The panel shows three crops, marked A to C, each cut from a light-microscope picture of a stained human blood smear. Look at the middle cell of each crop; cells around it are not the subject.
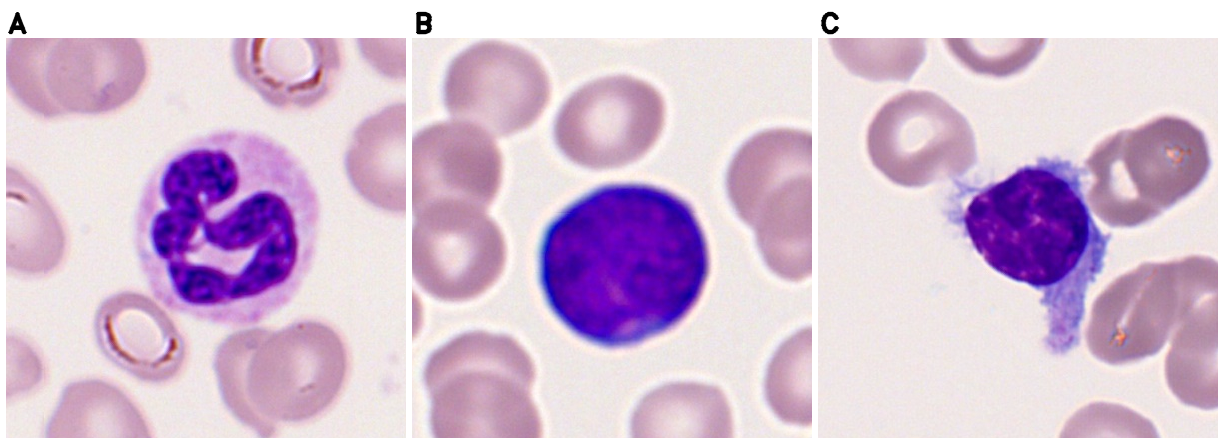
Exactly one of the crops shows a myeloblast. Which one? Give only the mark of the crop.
B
